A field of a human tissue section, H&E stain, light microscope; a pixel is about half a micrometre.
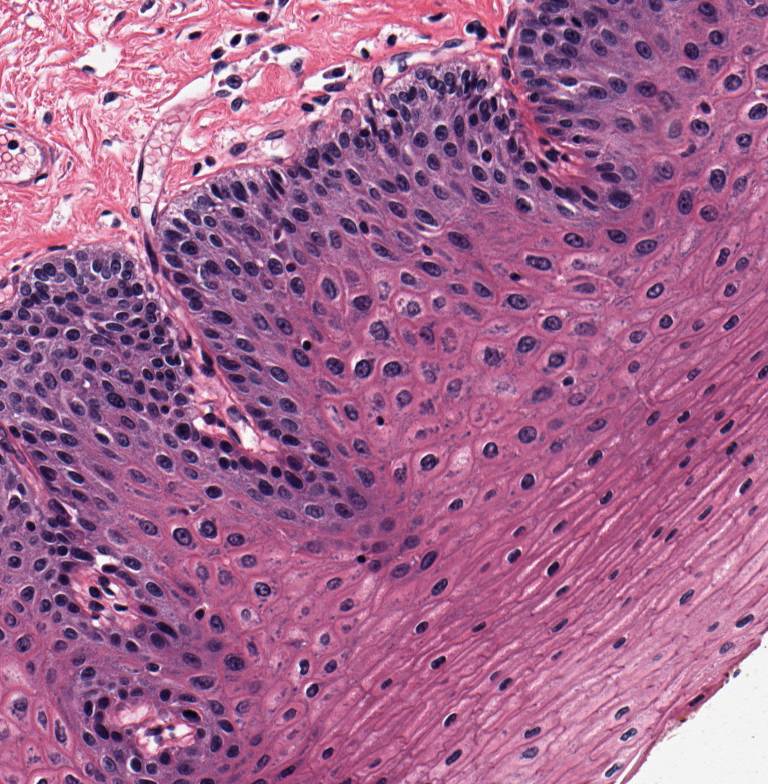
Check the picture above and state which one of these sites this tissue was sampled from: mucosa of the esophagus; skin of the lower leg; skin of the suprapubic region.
mucosa of the esophagus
